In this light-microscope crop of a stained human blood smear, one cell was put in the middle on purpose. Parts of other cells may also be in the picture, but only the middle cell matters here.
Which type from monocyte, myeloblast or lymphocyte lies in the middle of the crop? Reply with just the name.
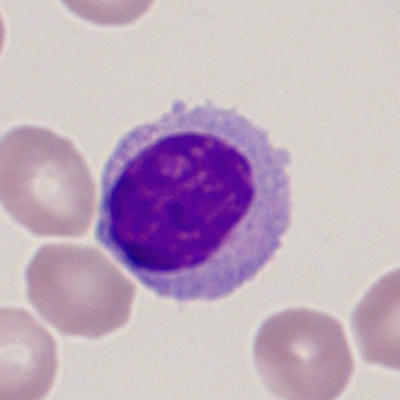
lymphocyte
